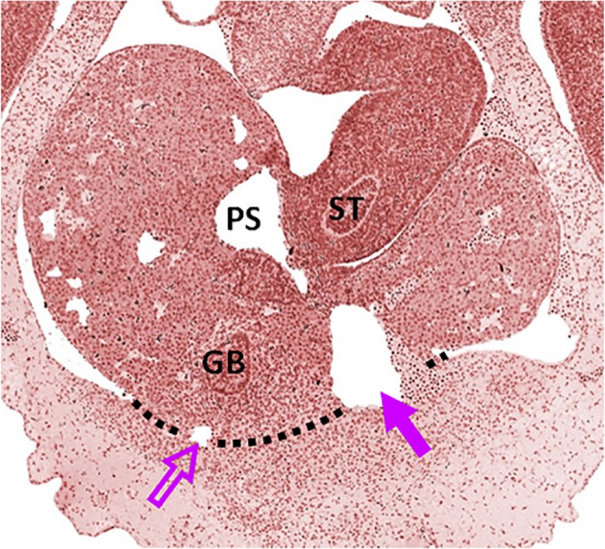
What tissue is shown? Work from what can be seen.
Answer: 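Large, densely cellular, dark red-staining lobes fill most of the section. Small irregular vascular spaces are scattered through the lobes. The lobes wrap around a central lumen and lie beside a hollow tubular organ. That points to this answer: liver.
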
